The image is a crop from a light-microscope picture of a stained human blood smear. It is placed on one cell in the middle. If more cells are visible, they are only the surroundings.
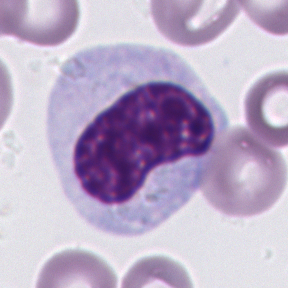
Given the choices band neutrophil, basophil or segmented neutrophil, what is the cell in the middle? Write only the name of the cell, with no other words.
band neutrophil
